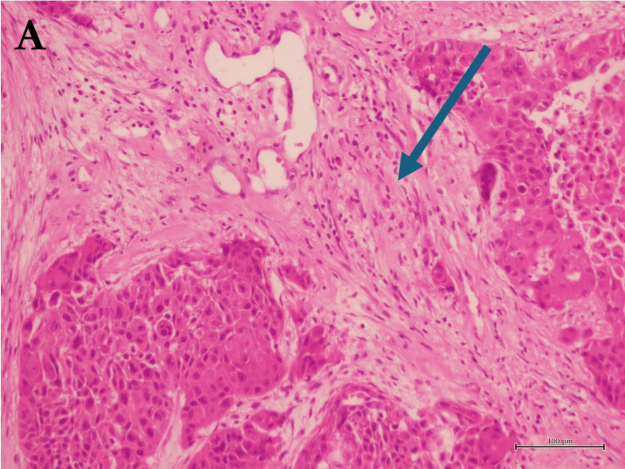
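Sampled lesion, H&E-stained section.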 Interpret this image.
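This is a squamous cell carcinoma, with irregular nests of large malignant epithelial cells lying in a pink fibrous stroma. Between the nests runs a stroma of spindle-shaped cells, wavy collagen and a few small vessels.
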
